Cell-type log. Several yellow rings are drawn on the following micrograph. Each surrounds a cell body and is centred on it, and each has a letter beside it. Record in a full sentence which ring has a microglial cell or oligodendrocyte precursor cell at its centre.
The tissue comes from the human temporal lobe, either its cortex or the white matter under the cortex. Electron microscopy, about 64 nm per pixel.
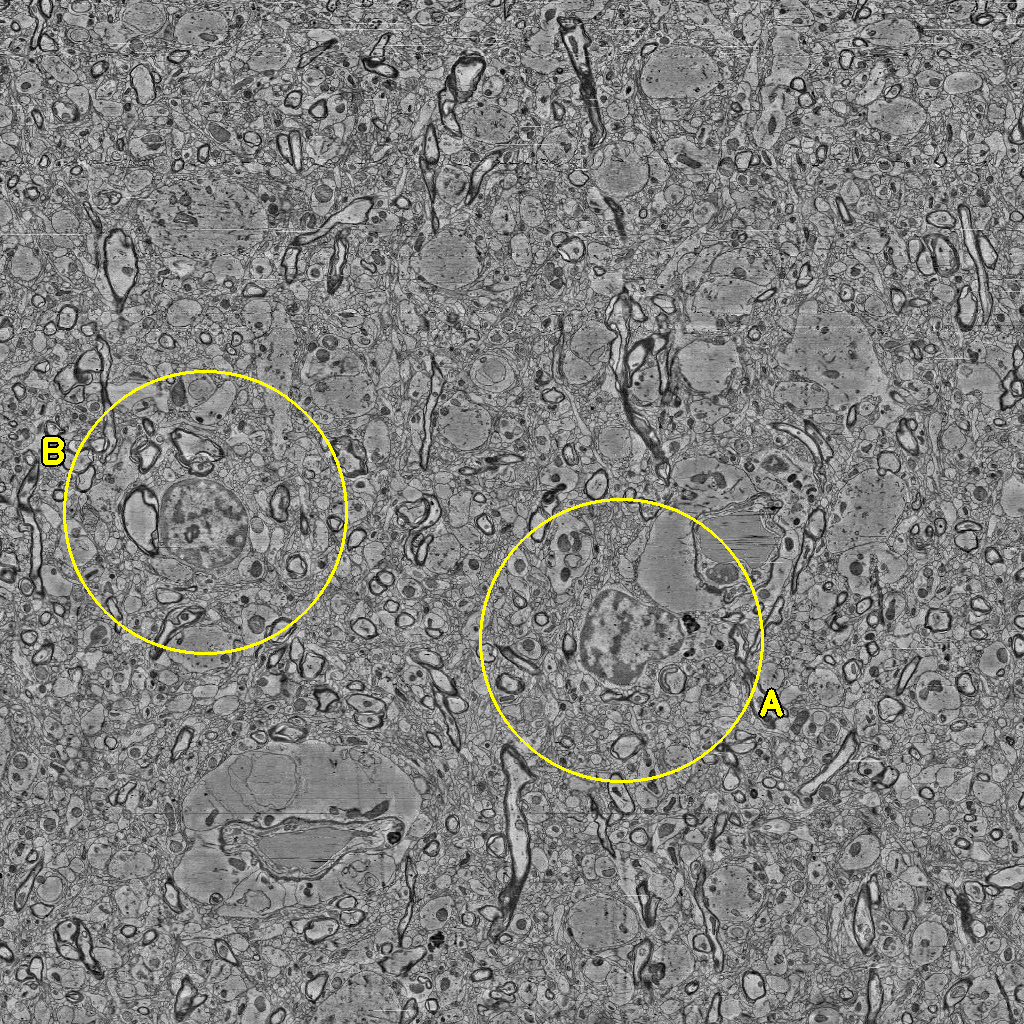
Ring A has it at its centre.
